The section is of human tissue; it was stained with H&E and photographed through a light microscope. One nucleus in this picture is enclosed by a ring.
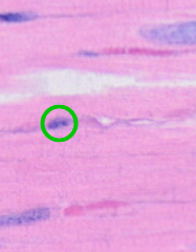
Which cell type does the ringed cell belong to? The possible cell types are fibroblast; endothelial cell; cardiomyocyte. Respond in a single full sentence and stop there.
The identity of the ringed cell is that of an endothelial cell.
